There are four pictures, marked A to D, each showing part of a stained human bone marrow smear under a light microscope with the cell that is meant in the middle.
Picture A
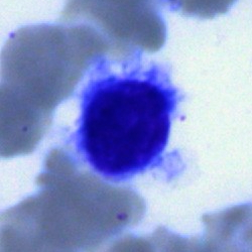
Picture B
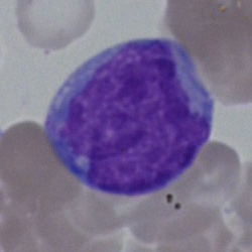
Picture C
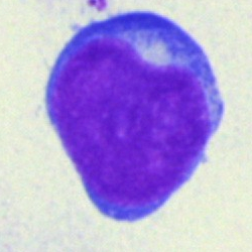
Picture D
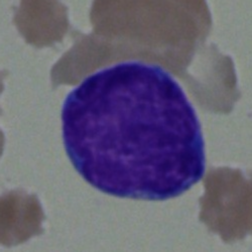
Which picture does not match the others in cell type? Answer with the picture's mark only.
A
